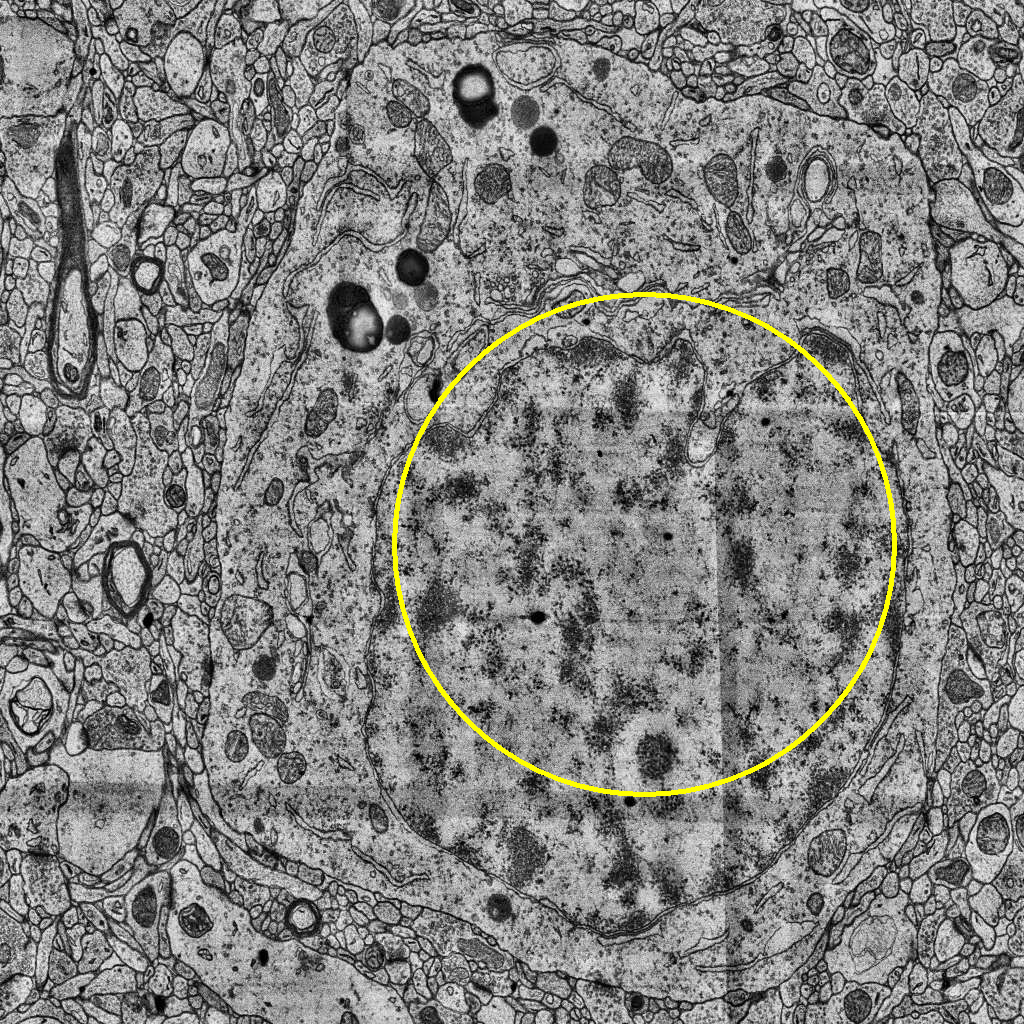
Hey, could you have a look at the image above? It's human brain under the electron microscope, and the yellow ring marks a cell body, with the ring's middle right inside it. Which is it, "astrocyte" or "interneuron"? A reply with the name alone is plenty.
interneuron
